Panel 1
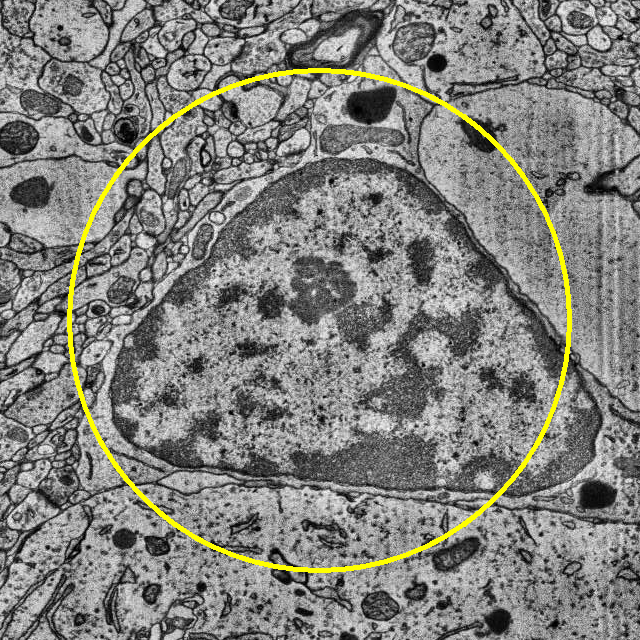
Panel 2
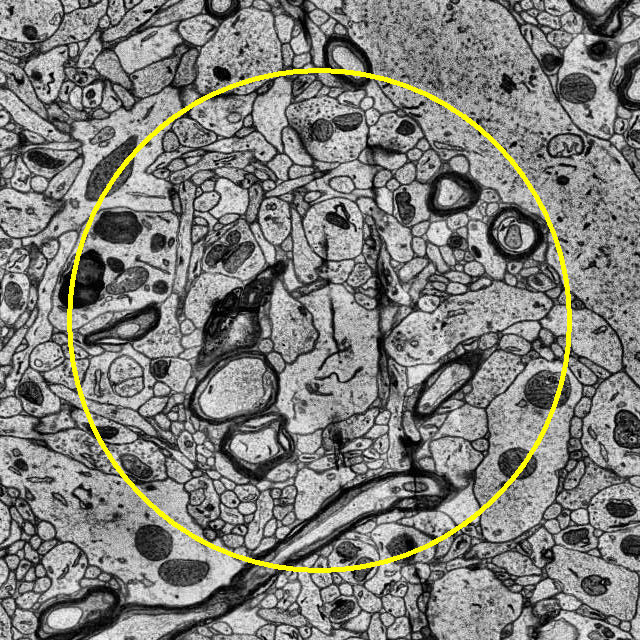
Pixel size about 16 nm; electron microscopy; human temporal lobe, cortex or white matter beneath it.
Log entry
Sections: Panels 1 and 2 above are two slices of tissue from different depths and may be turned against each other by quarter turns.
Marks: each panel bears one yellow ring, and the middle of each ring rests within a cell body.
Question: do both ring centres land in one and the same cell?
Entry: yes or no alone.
no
